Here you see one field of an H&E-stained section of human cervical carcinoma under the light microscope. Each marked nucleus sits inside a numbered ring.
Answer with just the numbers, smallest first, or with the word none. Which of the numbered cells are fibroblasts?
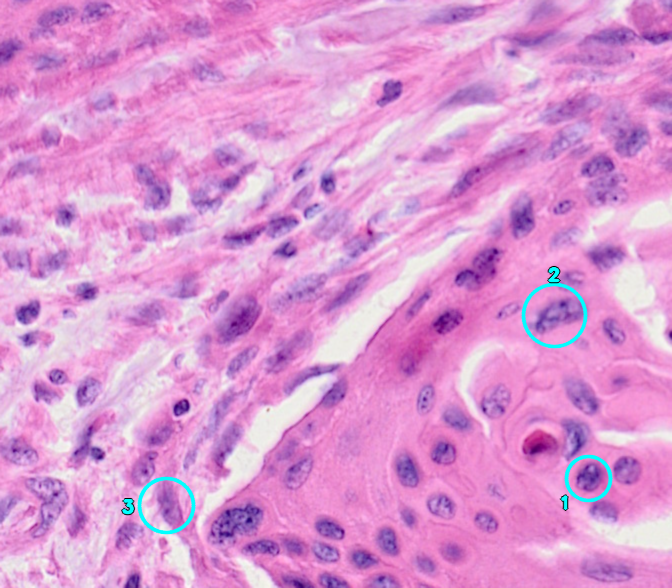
3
